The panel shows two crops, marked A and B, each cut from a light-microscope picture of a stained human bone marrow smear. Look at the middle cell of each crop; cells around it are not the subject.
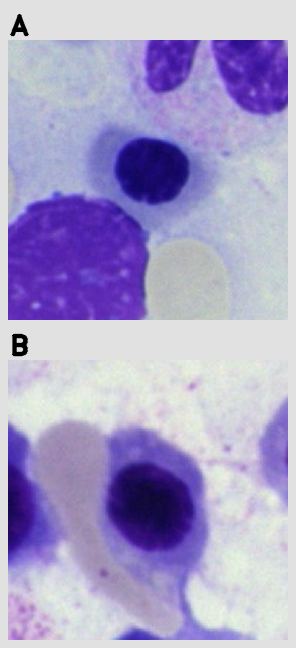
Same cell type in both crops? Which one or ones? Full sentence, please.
Yes, the cells that both crops show at the centre are erythroblasts.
